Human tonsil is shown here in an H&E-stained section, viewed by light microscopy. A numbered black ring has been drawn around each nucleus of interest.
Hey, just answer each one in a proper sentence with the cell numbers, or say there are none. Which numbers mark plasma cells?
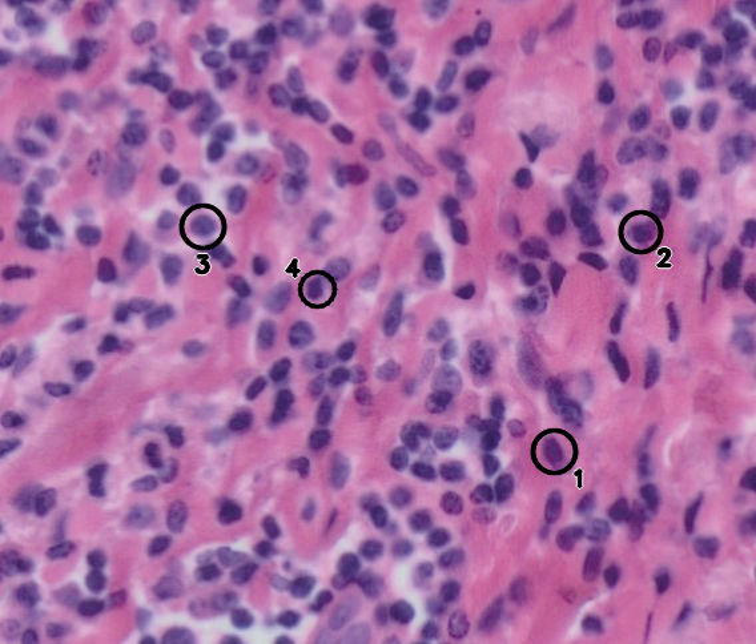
Cell 2, and no other numbered cell, is a plasma cell.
